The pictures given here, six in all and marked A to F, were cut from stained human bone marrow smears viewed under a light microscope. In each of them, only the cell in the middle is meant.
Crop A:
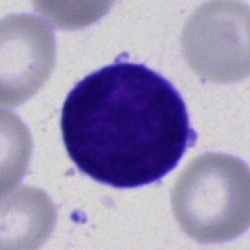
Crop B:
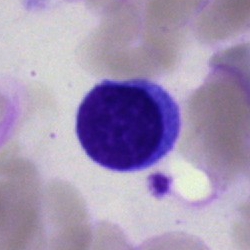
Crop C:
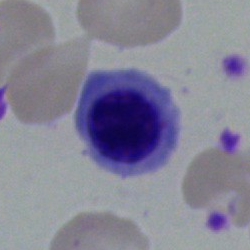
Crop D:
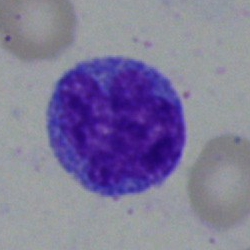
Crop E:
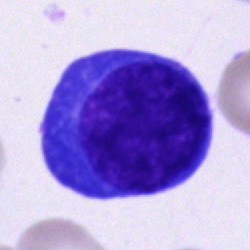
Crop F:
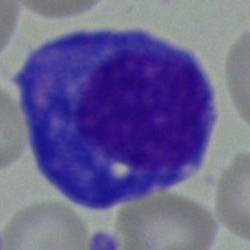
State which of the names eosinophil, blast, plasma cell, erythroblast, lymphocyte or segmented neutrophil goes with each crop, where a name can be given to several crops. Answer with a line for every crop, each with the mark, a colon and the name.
A: blast
B: lymphocyte
C: erythroblast
D: blast
E: plasma cell
F: plasma cell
